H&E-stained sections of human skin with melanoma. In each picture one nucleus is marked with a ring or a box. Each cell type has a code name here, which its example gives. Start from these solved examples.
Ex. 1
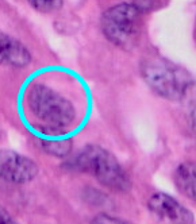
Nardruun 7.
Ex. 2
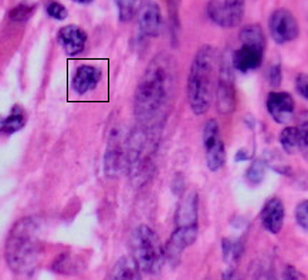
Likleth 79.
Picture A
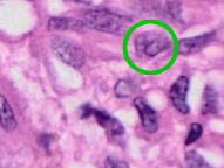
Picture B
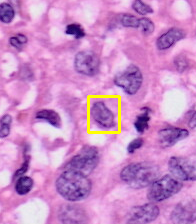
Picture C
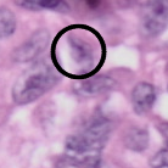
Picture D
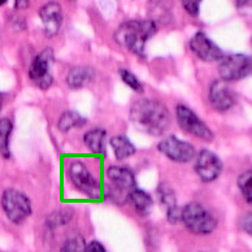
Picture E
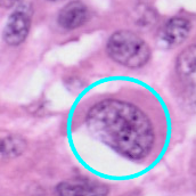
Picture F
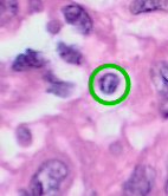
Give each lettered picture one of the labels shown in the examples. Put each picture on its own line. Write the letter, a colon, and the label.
A: Nardruun 7.
B: Nardruun 7.
C: Nardruun 7.
D: Nardruun 7.
E: Nardruun 7.
F: Likleth 79.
